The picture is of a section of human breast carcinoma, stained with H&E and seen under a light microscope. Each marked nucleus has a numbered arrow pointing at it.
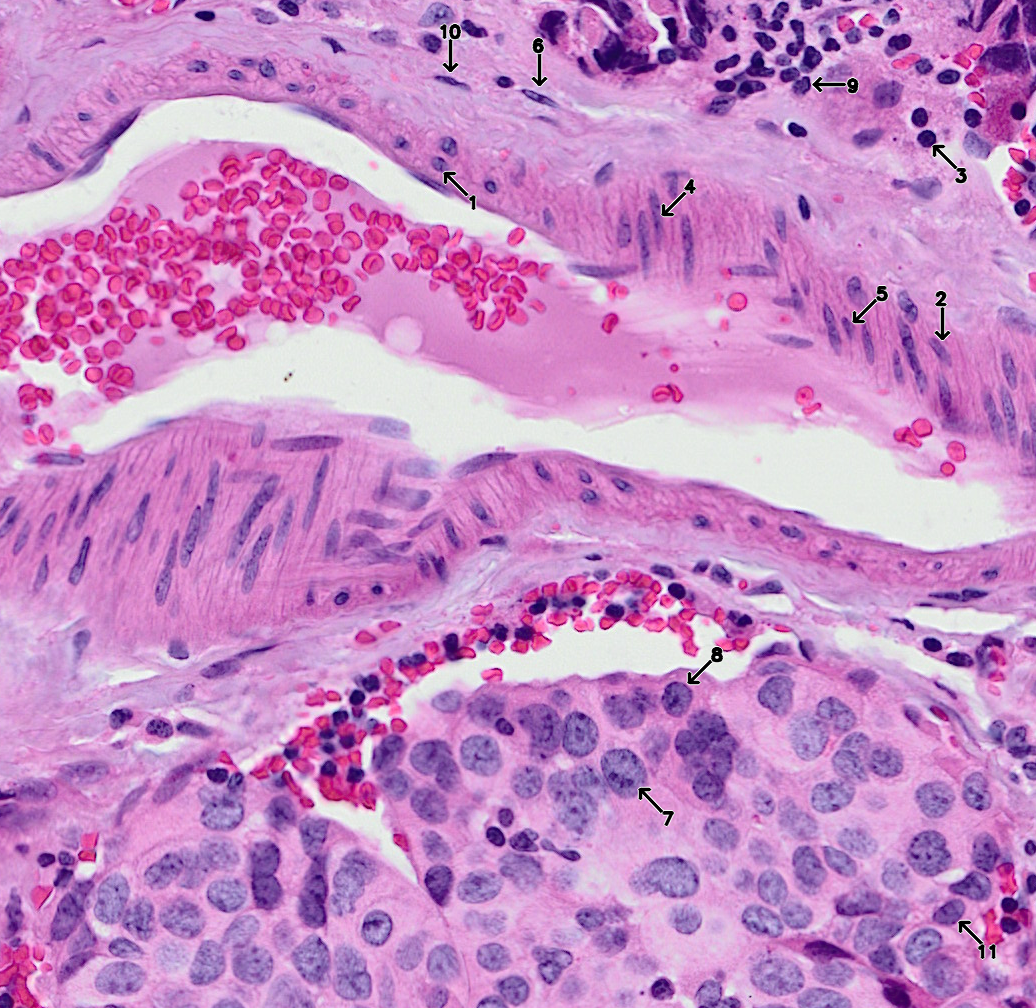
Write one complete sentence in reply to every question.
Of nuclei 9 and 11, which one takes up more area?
The larger nucleus is 11, at roughly 2.5 times the area of 9.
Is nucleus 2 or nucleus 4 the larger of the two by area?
Nucleus 4 is the larger one, covering about 2 times the area of nucleus 2.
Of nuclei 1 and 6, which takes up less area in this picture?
Number 1 is smaller, since number 6 takes up about 2 times as much area.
